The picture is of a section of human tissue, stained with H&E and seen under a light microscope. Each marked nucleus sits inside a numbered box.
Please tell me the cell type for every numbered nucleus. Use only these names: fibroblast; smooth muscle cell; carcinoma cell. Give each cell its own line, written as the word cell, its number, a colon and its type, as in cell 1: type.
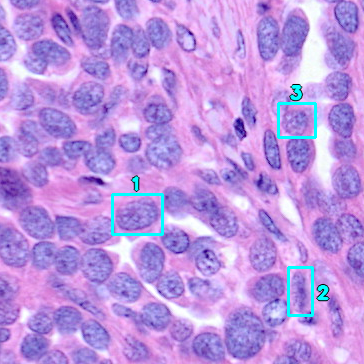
cell 1: carcinoma cell
cell 2: fibroblast
cell 3: carcinoma cell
